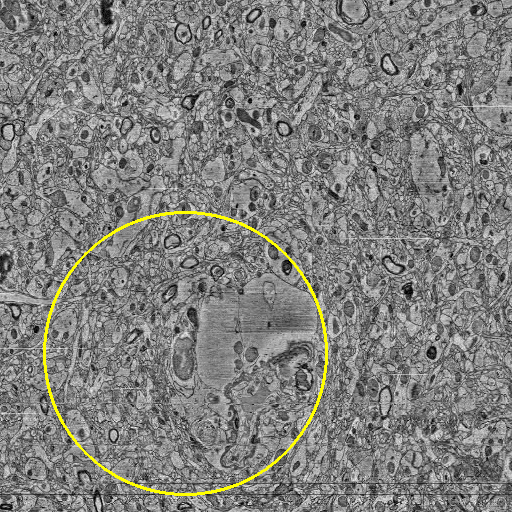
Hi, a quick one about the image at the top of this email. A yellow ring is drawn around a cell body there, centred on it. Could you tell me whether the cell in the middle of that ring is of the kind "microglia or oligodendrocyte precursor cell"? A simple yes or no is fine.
yes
